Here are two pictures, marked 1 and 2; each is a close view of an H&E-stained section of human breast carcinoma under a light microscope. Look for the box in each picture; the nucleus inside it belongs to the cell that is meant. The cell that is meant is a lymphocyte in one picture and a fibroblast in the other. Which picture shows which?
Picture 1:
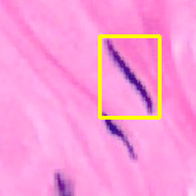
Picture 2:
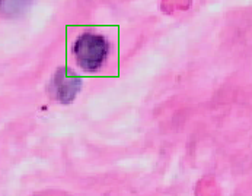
1: fibroblast
2: lymphocyte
